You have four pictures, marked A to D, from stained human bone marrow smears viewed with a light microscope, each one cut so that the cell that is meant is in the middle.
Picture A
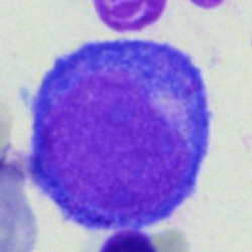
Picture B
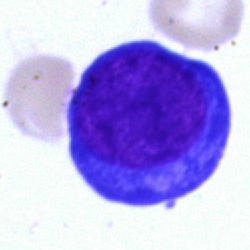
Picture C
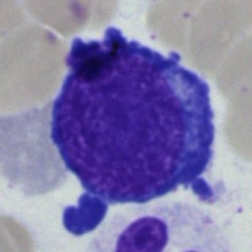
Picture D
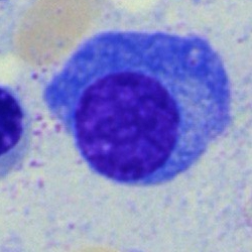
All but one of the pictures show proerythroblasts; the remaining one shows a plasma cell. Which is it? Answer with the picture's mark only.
D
